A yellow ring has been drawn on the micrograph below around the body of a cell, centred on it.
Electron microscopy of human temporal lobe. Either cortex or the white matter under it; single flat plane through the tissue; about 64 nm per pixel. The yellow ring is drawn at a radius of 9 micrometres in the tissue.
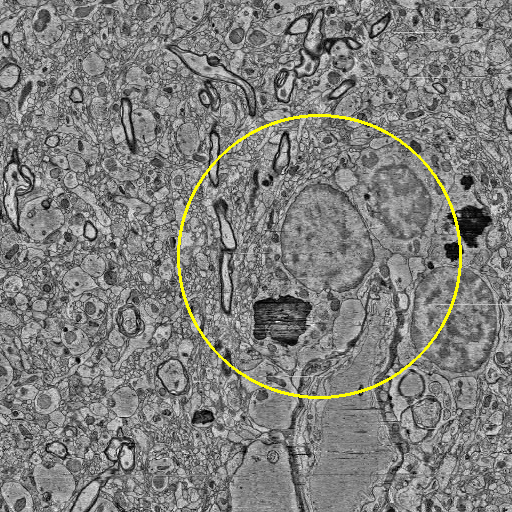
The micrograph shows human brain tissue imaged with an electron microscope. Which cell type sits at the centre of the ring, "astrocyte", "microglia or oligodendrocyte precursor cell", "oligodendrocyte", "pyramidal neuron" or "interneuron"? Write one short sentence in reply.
The cell sitting at the centre of the ring is an oligodendrocyte.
